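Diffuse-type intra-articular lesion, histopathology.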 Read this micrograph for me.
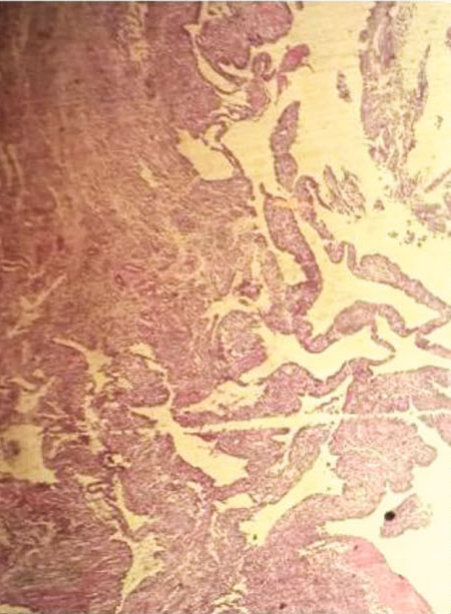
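At low magnification a densely cellular, pink-purple stained mass occupies the left part of the field, and toward the right it breaks up into many slender, branching fronds separated by pale empty clefts. The fronds are packed with small cells and are bordered by a thin surface layer, giving a villous, nodular architecture.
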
